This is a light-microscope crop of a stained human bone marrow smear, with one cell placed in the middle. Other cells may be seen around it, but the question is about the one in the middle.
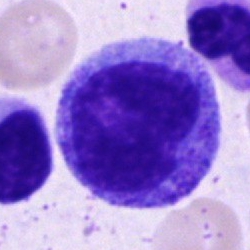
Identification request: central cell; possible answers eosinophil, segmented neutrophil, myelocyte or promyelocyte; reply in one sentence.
On this slide crop, the central cell is a promyelocyte.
